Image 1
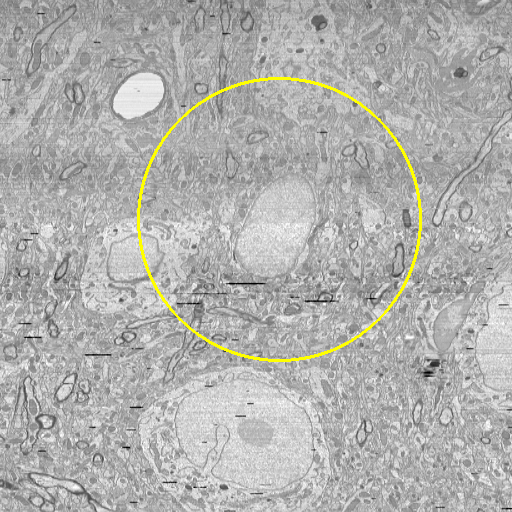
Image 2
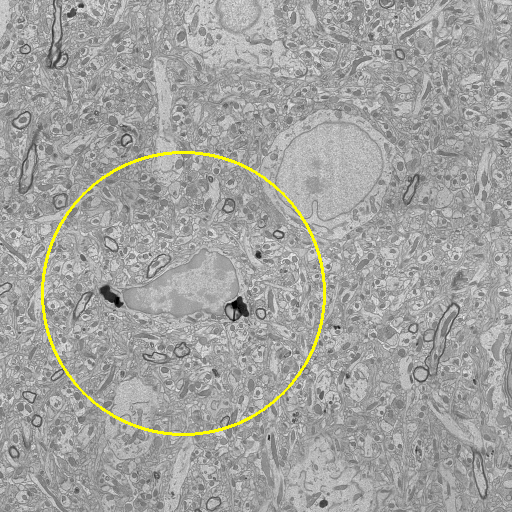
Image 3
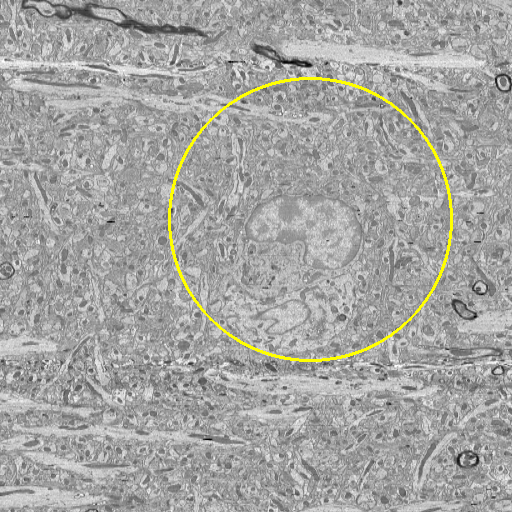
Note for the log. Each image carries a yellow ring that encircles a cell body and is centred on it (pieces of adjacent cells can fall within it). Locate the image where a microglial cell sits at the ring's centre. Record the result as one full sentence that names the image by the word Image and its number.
Image 2 has the wanted cell sitting at the centre of its ring.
